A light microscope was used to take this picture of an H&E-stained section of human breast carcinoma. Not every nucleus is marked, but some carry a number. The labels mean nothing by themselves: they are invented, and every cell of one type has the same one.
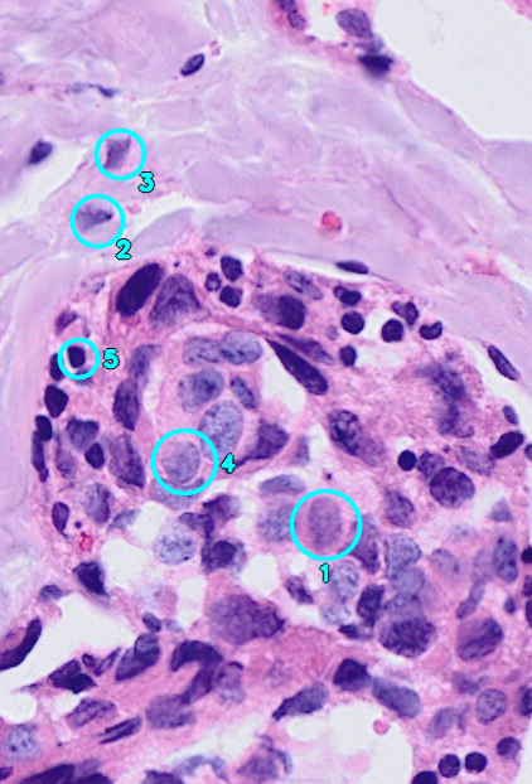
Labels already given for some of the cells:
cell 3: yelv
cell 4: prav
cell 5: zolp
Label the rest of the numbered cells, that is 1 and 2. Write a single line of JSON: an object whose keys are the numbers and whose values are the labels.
{"1": "prav", "2": "yelv"}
